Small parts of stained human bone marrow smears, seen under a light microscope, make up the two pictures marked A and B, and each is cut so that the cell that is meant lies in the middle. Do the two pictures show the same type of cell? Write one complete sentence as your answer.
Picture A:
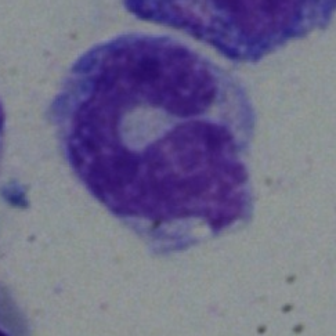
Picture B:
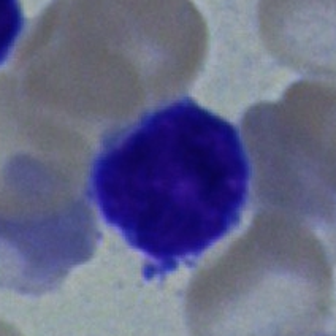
No; the cell in picture A is a monocyte, while the one in picture B is a lymphocyte.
